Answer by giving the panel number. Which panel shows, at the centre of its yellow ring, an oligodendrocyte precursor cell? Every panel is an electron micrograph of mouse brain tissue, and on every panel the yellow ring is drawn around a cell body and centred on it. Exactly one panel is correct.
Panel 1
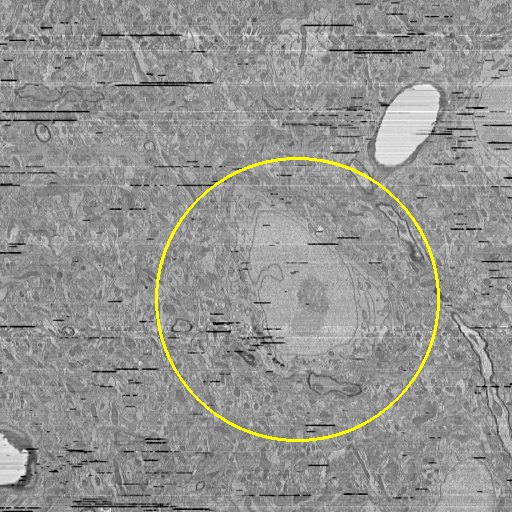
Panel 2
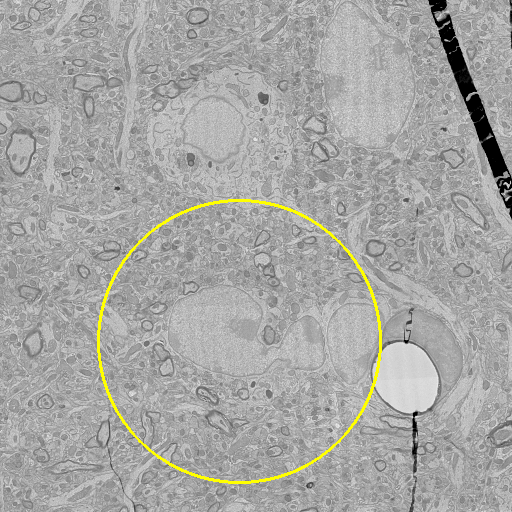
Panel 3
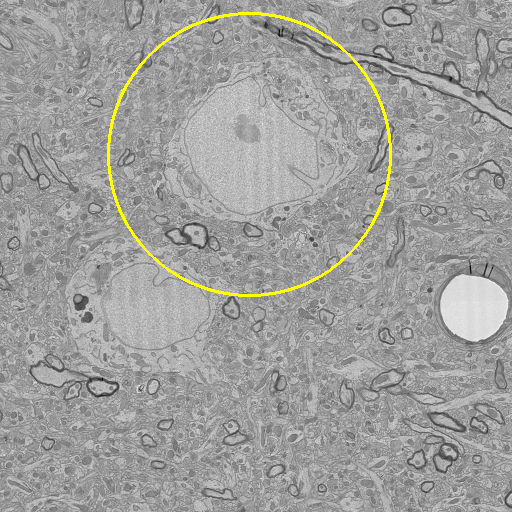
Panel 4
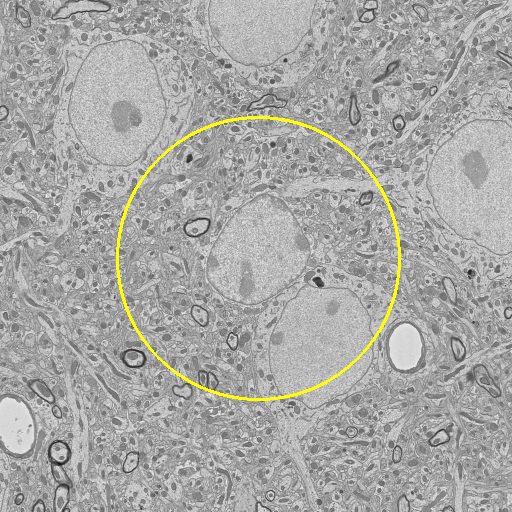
2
